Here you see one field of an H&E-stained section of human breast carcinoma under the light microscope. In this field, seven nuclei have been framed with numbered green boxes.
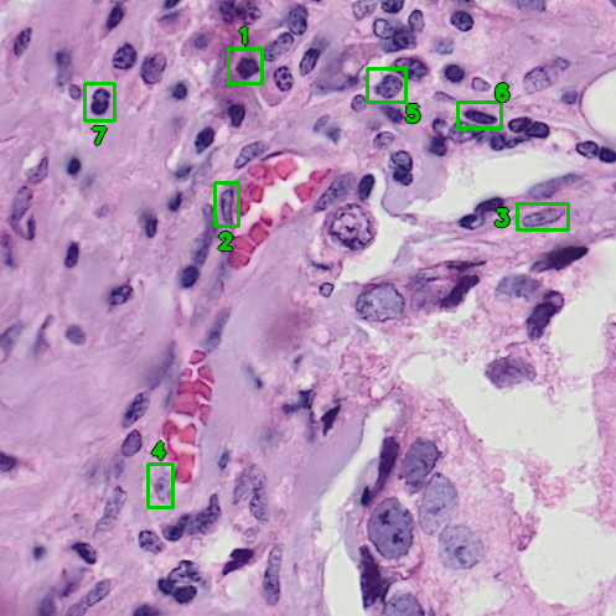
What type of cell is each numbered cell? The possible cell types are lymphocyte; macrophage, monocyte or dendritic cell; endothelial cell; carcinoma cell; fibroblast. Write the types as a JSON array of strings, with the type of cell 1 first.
["lymphocyte", "endothelial cell", "endothelial cell", "endothelial cell", "lymphocyte", "lymphocyte", "lymphocyte"]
